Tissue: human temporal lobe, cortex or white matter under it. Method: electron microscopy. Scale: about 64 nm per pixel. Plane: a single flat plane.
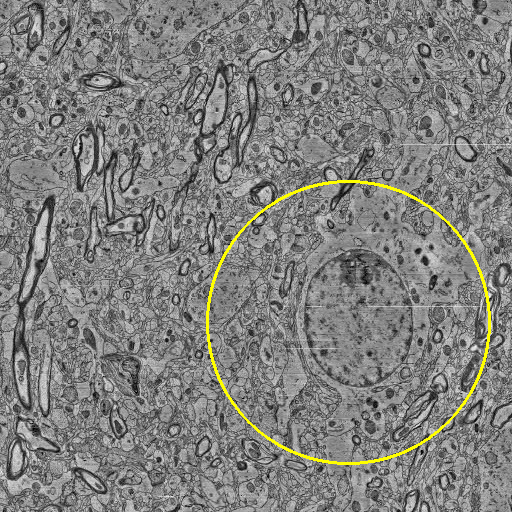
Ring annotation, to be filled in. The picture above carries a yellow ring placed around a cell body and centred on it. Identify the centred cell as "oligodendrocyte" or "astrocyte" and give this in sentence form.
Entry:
The cell in the middle of the ring is an astrocyte.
